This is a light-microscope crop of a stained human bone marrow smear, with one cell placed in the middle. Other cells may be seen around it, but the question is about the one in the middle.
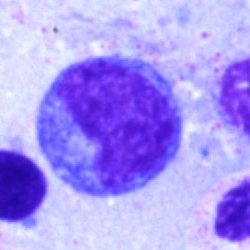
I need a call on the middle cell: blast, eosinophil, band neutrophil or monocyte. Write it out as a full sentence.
The middle cell in this particular crop is a monocyte.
